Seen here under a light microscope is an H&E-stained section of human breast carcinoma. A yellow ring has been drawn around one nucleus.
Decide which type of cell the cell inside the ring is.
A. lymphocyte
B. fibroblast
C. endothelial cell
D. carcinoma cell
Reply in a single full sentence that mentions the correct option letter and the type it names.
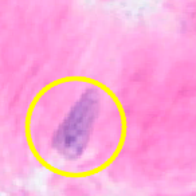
Here the cell inside the ring is a fibroblast; pick option B.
